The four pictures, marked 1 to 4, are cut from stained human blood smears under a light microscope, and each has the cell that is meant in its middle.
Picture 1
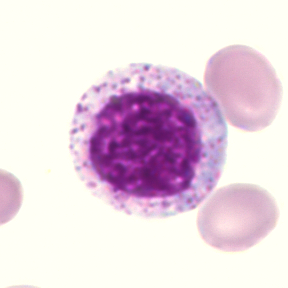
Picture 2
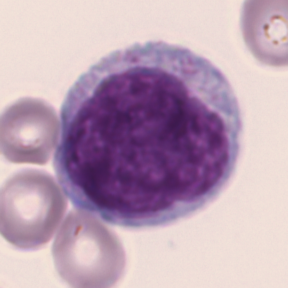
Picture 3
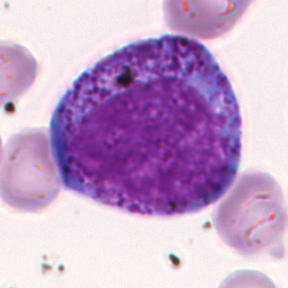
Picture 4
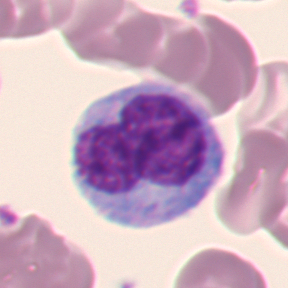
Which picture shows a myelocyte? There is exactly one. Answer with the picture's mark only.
1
